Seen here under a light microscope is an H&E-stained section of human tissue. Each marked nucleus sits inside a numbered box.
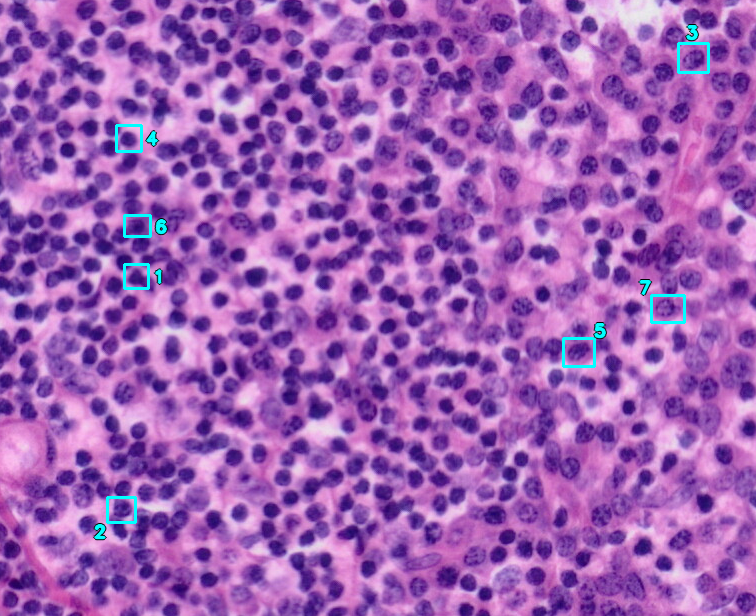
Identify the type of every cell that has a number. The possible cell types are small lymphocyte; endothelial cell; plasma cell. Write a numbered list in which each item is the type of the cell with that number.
1. small lymphocyte
2. small lymphocyte
3. plasma cell
4. small lymphocyte
5. plasma cell
6. small lymphocyte
7. plasma cell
